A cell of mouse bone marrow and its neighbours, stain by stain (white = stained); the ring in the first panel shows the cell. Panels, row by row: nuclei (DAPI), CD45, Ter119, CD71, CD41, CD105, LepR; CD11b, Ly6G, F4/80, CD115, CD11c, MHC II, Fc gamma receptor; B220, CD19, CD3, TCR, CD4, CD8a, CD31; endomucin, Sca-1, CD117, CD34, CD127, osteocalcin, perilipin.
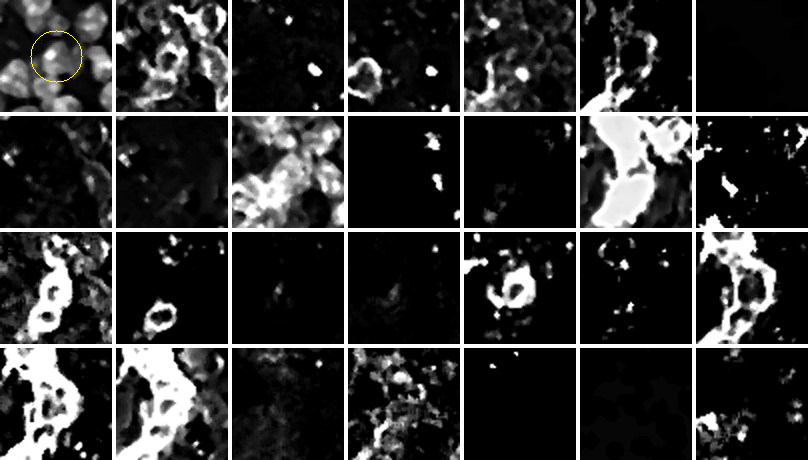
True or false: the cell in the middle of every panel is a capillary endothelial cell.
True.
